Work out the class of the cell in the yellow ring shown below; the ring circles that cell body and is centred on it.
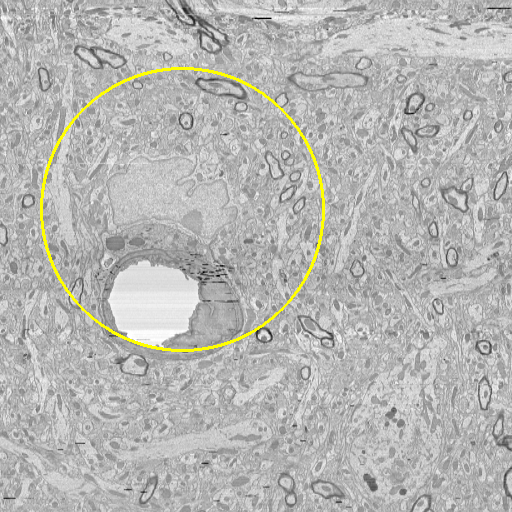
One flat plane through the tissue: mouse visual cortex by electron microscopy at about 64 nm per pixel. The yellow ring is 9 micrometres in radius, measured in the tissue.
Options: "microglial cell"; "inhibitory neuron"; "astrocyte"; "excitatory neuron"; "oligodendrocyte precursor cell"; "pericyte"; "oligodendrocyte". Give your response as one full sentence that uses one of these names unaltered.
The body ringed in yellow, right at the ring's centre, is that of an oligodendrocyte precursor cell.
